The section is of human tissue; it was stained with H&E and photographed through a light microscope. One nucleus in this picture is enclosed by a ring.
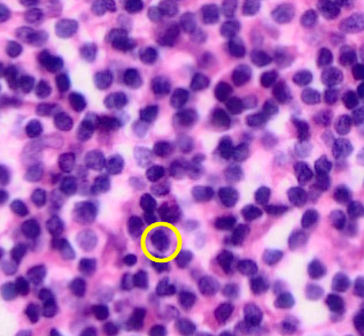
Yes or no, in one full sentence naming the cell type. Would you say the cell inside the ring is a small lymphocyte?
Yes, the cell inside the ring is accurately described as a small lymphocyte.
